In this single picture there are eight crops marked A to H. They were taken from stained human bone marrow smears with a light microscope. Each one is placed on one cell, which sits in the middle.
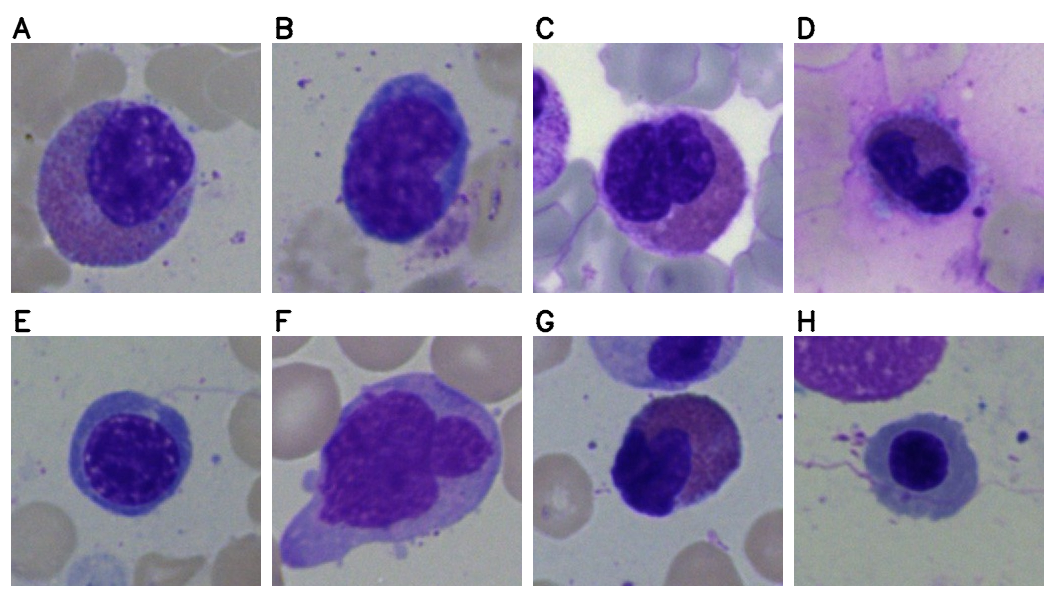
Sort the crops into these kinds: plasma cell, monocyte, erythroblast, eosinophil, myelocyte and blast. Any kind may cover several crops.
A: eosinophil
B: blast
C: eosinophil
D: eosinophil
E: erythroblast
F: monocyte
G: eosinophil
H: erythroblast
